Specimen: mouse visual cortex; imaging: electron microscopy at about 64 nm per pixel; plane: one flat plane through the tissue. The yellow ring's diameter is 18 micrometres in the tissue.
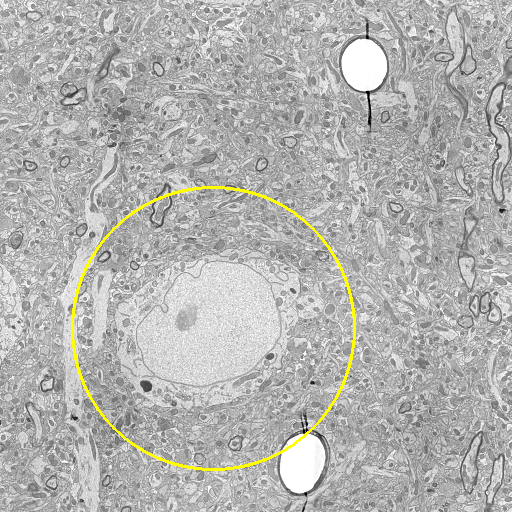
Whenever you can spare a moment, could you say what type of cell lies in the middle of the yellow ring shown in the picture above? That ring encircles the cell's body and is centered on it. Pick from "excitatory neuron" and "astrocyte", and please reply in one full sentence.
The cell whose body sits at the middle of the yellow ring is an excitatory neuron.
